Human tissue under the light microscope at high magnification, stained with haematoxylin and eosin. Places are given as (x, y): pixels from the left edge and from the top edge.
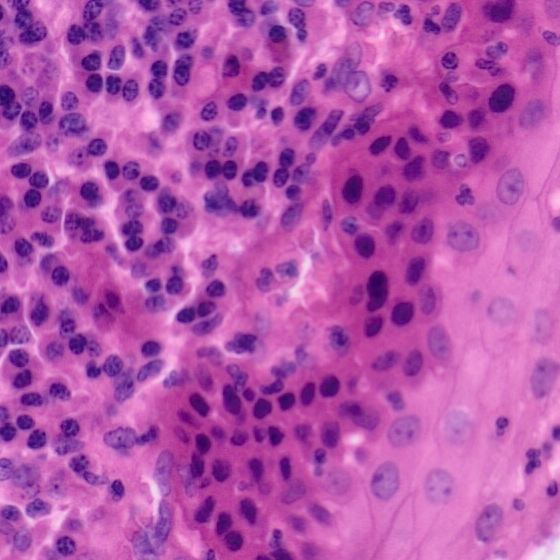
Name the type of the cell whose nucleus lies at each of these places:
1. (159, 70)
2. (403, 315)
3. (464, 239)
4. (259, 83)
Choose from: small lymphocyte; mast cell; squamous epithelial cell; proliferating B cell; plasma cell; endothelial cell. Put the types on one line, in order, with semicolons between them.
plasma cell; squamous epithelial cell; squamous epithelial cell; plasma cell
